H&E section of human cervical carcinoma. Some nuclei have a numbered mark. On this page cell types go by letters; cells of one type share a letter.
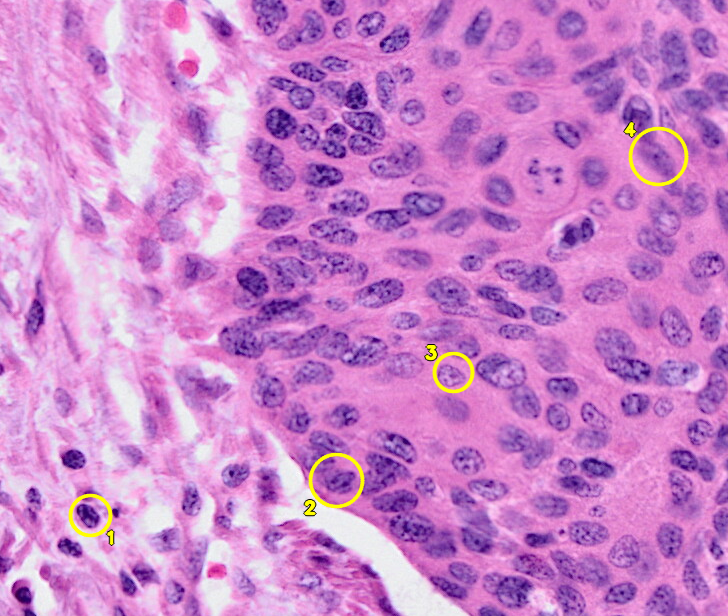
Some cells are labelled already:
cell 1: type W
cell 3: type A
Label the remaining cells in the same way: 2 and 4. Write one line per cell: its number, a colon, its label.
2: type A
4: type A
